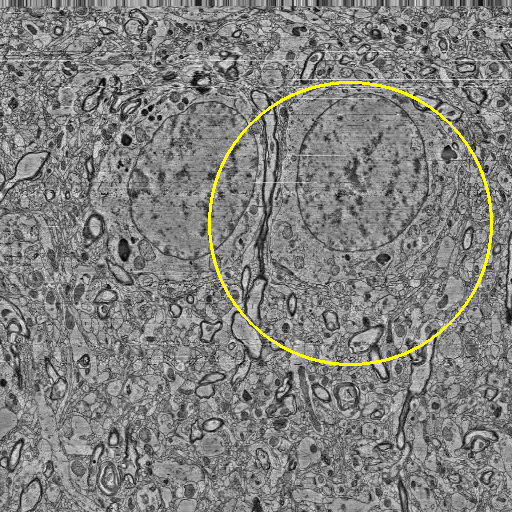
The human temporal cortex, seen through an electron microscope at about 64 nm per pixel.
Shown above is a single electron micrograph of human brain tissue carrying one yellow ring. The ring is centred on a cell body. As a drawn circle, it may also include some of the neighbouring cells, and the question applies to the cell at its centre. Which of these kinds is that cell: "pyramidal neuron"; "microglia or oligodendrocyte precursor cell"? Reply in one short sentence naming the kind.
The cell marked by the ring is a pyramidal neuron.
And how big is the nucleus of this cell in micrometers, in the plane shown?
The nucleus comes to roughly 11 by 9 micrometres in this plane.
